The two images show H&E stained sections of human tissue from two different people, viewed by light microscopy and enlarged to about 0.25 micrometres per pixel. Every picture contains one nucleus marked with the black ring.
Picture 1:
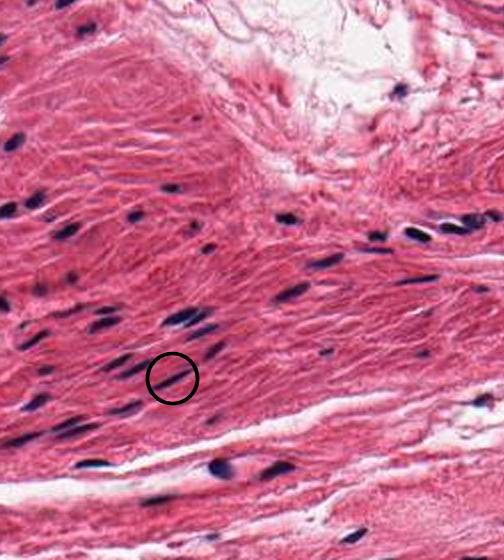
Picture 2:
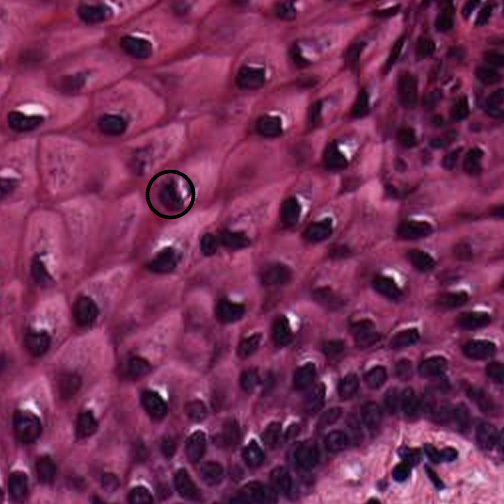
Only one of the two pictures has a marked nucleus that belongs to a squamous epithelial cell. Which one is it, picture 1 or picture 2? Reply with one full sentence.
The marked nucleus in picture 2 is the nucleus of a squamous epithelial cell.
